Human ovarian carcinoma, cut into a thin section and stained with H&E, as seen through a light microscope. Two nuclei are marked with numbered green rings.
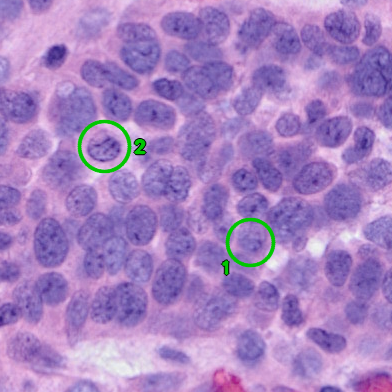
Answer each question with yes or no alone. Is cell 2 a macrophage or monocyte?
yes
